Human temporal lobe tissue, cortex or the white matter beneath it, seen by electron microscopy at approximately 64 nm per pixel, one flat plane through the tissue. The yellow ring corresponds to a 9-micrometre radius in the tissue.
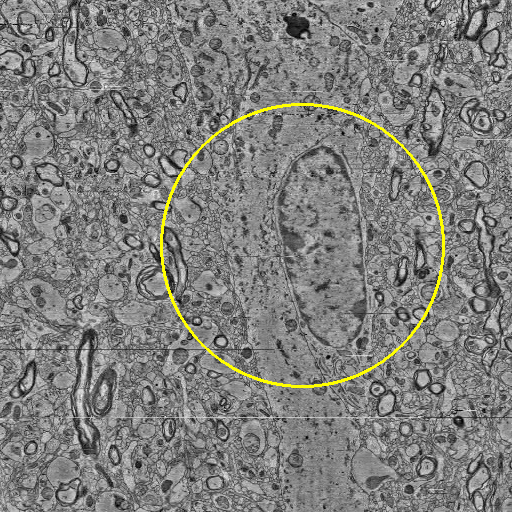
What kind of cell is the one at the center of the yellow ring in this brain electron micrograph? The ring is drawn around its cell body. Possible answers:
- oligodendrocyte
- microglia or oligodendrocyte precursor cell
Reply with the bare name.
microglia or oligodendrocyte precursor cell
